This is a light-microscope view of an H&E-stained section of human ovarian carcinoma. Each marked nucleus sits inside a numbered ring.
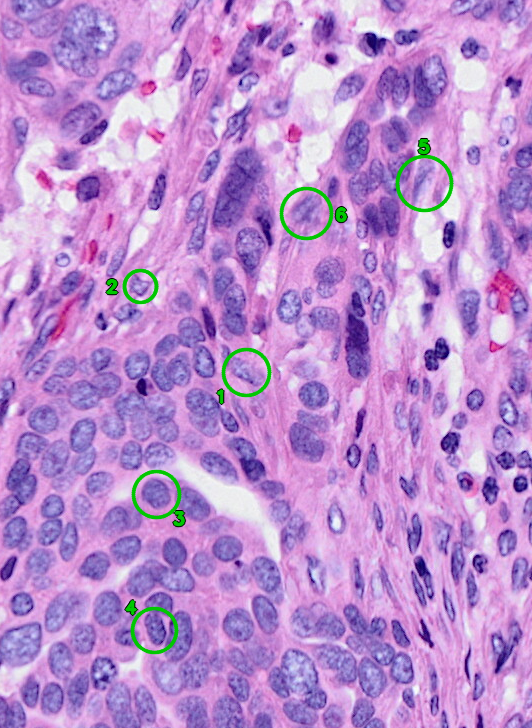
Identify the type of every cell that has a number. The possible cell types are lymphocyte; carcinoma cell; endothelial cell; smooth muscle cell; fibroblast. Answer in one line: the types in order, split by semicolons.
fibroblast; fibroblast; carcinoma cell; carcinoma cell; fibroblast; fibroblast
